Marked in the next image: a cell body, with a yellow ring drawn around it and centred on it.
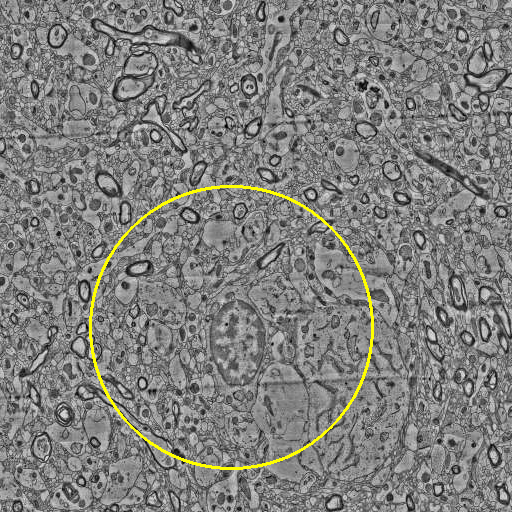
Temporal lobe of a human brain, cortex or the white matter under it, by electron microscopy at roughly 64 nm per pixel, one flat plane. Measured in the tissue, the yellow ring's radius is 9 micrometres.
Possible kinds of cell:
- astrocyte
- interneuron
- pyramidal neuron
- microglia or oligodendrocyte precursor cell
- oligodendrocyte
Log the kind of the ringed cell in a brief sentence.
The ringed cell body is that of an oligodendrocyte.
